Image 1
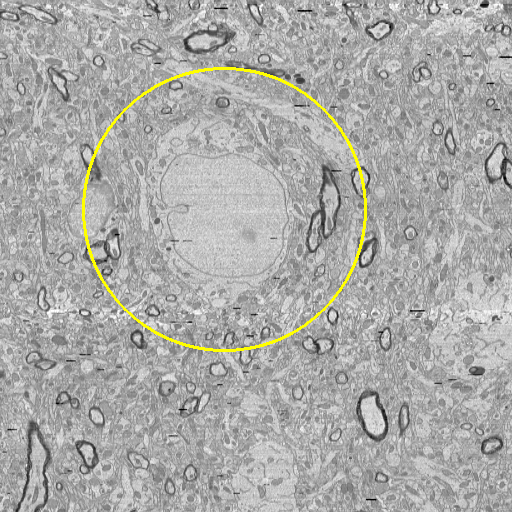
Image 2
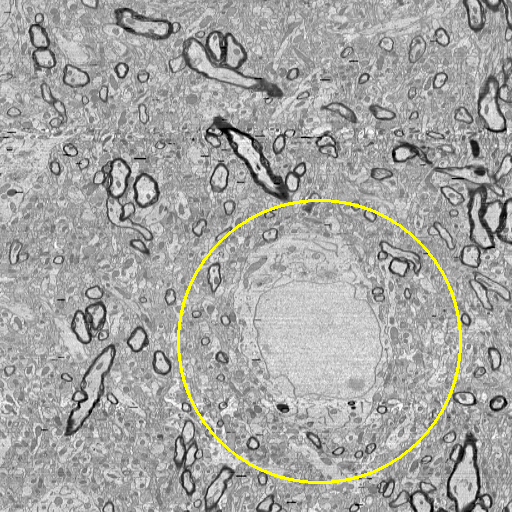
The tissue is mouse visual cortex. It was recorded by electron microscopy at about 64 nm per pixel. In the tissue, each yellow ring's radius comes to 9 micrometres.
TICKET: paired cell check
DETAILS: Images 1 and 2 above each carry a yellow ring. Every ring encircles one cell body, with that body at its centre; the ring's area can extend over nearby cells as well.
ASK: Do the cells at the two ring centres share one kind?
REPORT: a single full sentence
Yes, the ring-centre cells of Images 1 and 2 belong to a single kind.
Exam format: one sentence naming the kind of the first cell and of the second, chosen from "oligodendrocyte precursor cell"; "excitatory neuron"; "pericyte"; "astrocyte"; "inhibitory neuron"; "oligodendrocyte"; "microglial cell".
Each of the two pictures has an excitatory neuron at the ring centre.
